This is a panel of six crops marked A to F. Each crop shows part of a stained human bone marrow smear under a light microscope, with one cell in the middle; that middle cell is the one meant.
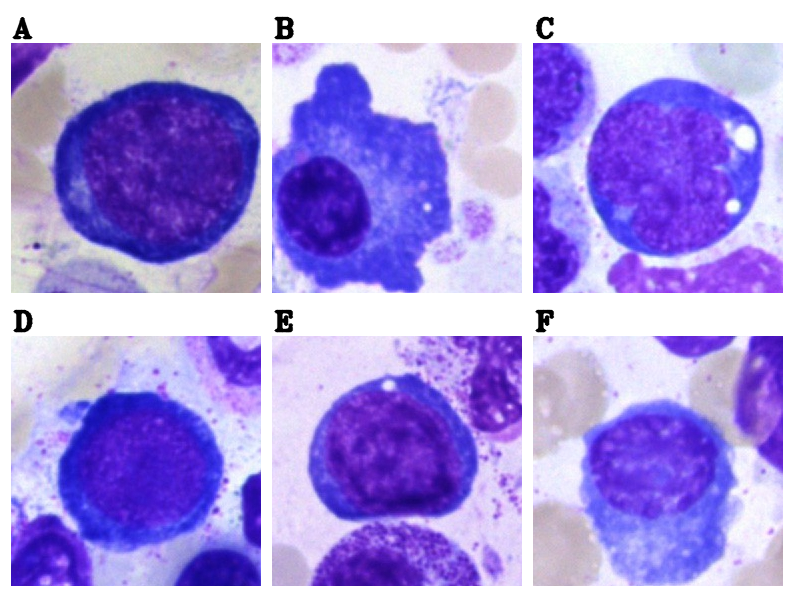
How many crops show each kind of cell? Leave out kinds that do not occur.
proerythroblast: 4
plasma cell: 2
